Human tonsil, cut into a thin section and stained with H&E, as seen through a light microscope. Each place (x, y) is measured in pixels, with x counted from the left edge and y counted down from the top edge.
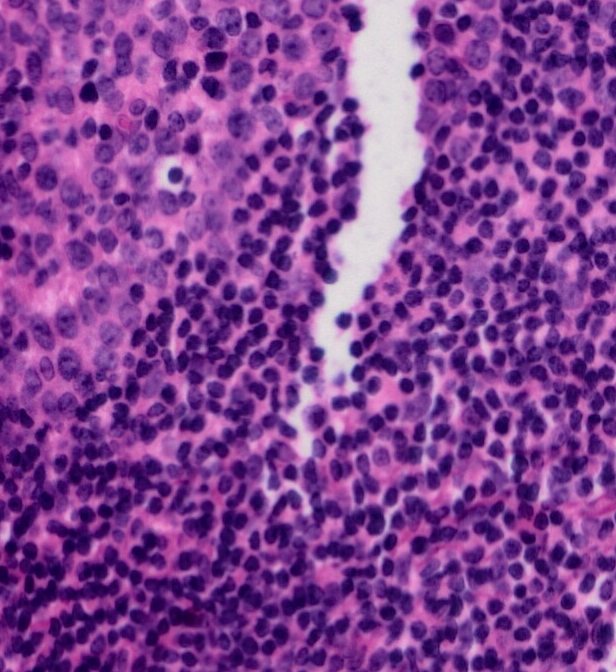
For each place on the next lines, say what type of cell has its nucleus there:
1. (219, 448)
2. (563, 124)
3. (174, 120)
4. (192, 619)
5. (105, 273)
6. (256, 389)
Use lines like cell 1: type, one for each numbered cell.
cell 1: small lymphocyte
cell 2: small lymphocyte
cell 3: proliferating B cell
cell 4: small lymphocyte
cell 5: proliferating B cell
cell 6: small lymphocyte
